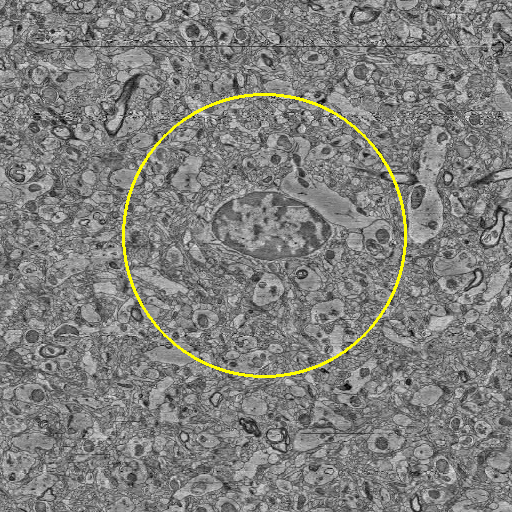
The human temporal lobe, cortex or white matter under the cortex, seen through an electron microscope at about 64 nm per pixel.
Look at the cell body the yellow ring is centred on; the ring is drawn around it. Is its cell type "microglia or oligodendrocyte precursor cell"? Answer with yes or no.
Yes, that is its cell type.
